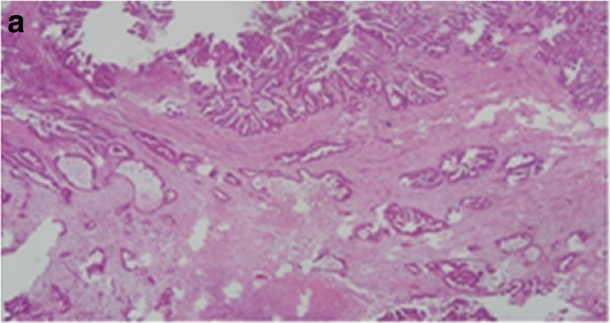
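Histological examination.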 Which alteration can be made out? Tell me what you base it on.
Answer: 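Complex branching papillary structures. Epithelium forms branching finger-like fronds at the top of the field. Small glandular tubules lie scattered within the stroma below.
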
